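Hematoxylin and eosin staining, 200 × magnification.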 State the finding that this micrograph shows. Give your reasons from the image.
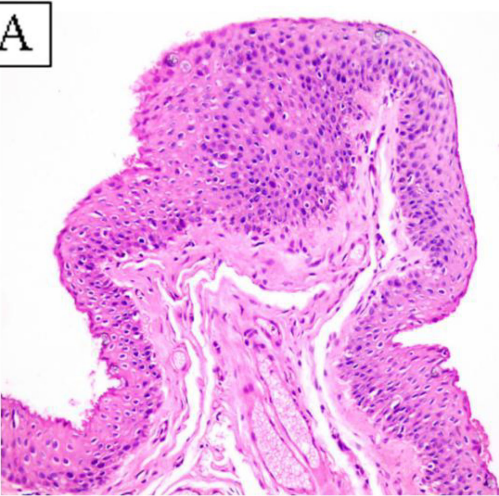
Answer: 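Squamous epithelial papilloma. Finger-like projection of stratified squamous epithelium around a connective tissue core. Orderly layering of the epithelial cells.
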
